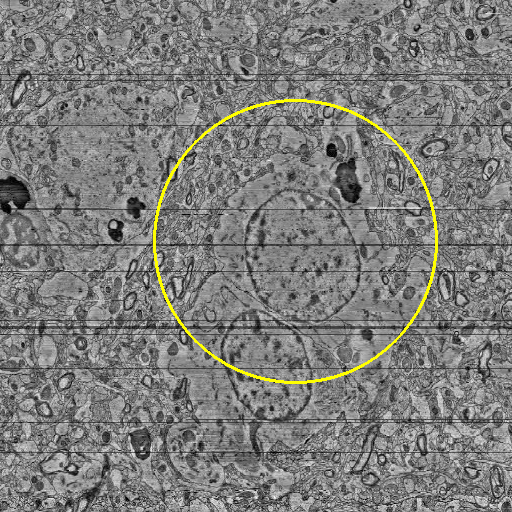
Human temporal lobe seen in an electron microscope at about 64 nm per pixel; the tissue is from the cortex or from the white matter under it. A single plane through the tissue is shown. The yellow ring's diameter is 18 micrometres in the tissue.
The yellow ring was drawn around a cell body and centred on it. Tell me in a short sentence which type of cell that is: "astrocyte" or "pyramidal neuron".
The cell at the ring's centre is an astrocyte.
